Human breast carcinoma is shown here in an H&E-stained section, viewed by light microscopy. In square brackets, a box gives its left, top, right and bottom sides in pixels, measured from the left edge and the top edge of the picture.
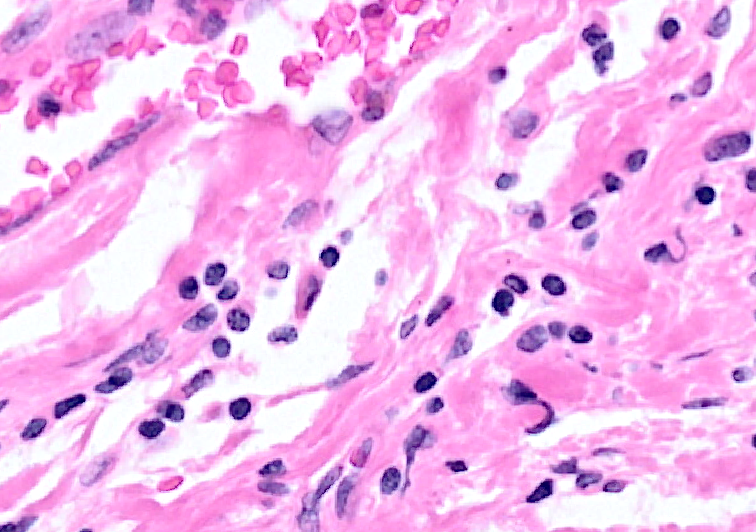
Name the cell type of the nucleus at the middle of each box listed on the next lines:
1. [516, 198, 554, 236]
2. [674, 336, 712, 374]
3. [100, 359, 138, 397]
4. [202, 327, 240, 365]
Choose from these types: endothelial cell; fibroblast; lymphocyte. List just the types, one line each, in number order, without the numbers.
lymphocyte
fibroblast
lymphocyte
lymphocyte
